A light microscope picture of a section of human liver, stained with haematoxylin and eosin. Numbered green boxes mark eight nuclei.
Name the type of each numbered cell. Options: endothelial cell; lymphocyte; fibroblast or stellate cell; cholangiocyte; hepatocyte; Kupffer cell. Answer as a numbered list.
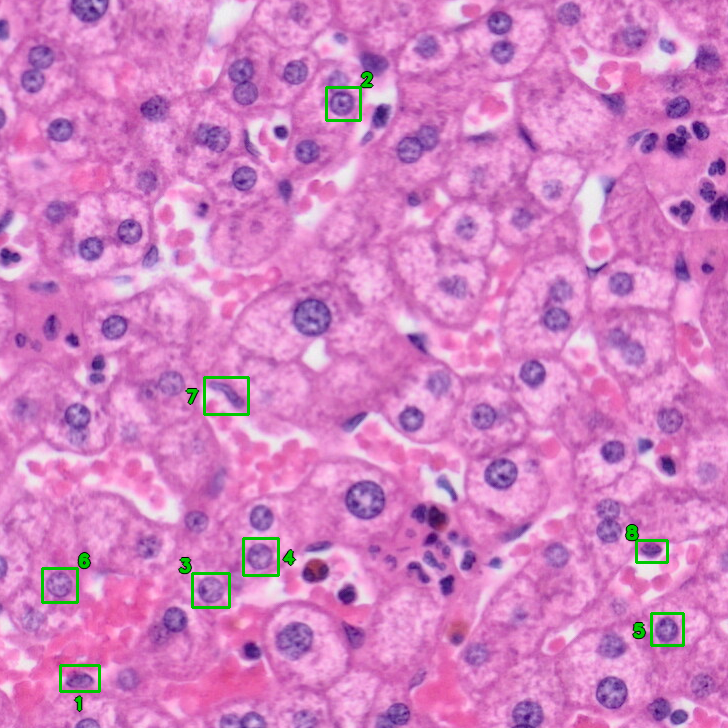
1. endothelial cell
2. hepatocyte
3. hepatocyte
4. hepatocyte
5. hepatocyte
6. hepatocyte
7. Kupffer cell
8. Kupffer cell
